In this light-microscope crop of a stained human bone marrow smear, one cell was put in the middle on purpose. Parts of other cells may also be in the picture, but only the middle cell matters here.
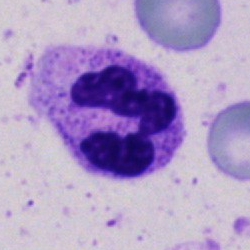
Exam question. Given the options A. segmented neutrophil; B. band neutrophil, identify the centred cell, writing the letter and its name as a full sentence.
The cell in the middle is a segmented neutrophil, so option A is correct.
